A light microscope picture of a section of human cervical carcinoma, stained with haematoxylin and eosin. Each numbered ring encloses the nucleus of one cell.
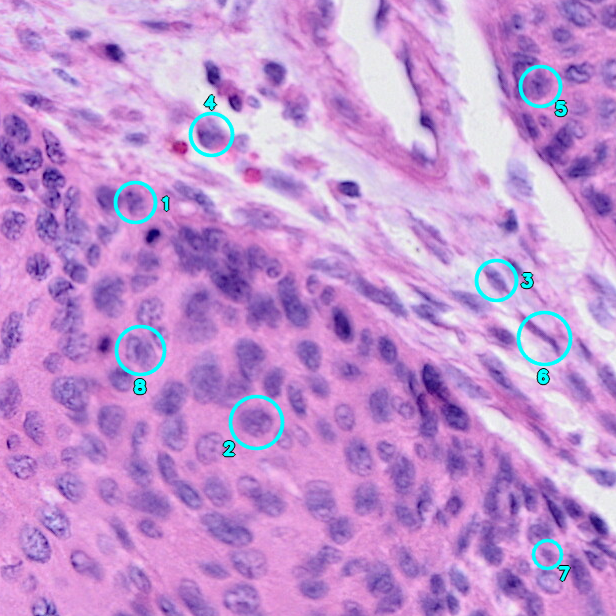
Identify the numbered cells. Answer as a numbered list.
1. squamous carcinoma cell
2. squamous carcinoma cell
3. fibroblast
4. endothelial cell
5. squamous carcinoma cell
6. fibroblast
7. squamous carcinoma cell
8. squamous carcinoma cell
